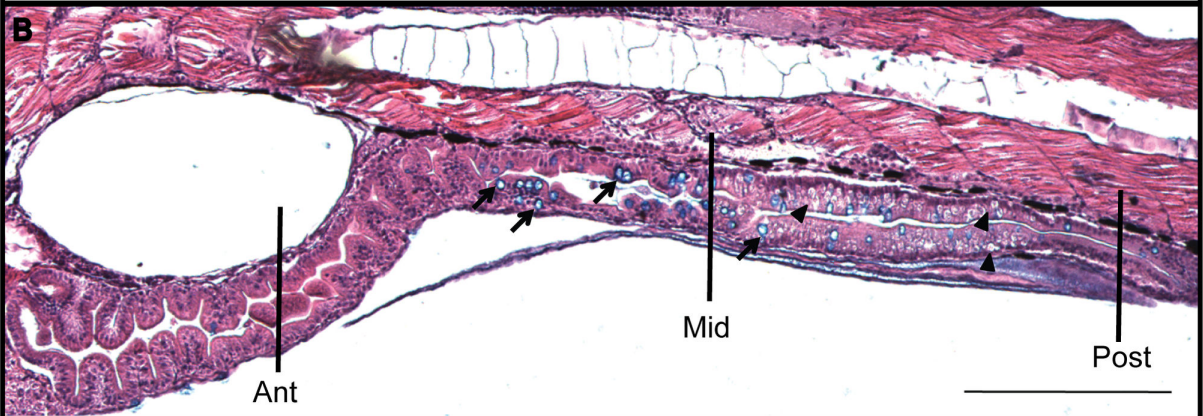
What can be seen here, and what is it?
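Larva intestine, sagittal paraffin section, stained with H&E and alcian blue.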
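The front part has tall pink columnar epithelium thrown into deep folds. Farther back, the epithelium lines a slit-like lumen and contains scattered goblet cells whose rounded contents stain pale blue. Dark pigment cells lie along the outer wall of the gut.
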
